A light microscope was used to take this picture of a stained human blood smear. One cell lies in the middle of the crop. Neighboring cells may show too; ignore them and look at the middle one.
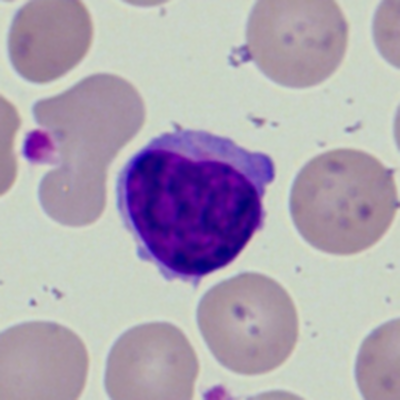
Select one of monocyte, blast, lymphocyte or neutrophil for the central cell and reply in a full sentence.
Regarding the central cell, it is a lymphocyte.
